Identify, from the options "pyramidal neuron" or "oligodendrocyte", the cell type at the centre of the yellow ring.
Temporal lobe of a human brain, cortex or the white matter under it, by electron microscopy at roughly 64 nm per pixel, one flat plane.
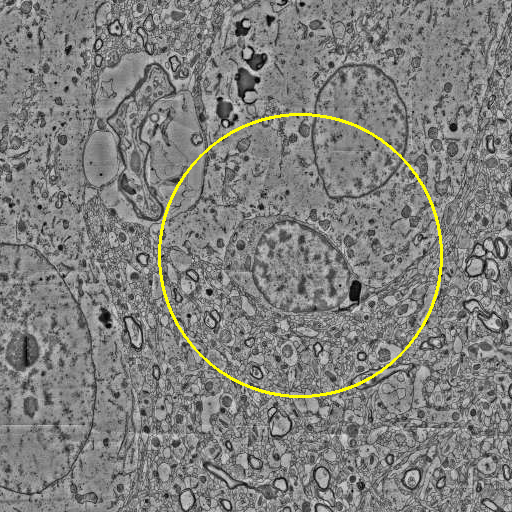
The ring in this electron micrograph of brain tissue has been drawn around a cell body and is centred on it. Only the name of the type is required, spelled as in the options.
oligodendrocyte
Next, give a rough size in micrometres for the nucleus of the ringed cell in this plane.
The nucleus measures about 7 by 5 micrometres in this plane.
